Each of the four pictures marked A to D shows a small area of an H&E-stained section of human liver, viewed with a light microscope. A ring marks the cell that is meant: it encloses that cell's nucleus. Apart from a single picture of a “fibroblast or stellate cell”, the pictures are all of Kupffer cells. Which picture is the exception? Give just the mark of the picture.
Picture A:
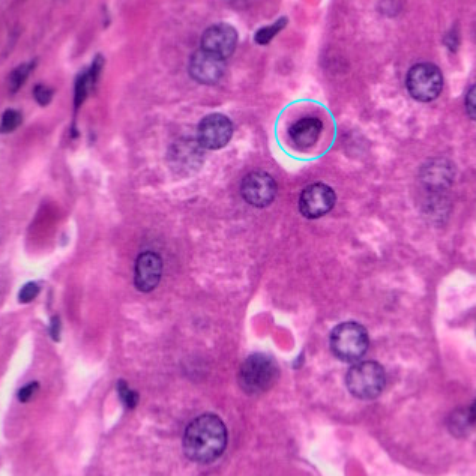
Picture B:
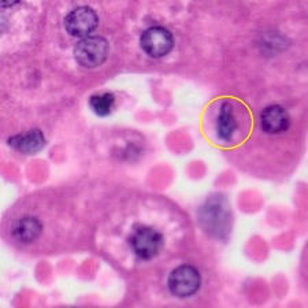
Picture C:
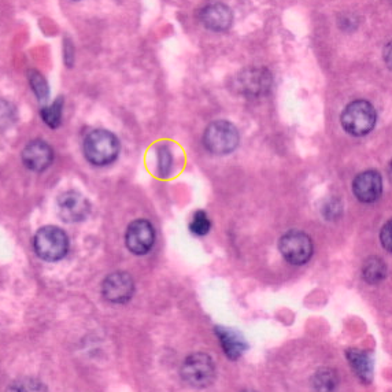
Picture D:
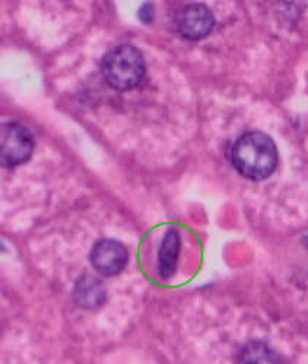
B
